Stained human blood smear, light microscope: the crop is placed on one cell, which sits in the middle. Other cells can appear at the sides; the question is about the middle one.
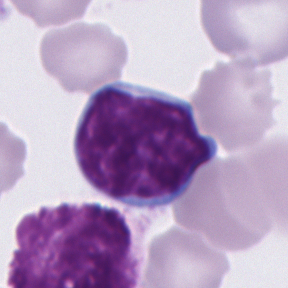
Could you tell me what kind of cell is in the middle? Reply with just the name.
typical lymphocyte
